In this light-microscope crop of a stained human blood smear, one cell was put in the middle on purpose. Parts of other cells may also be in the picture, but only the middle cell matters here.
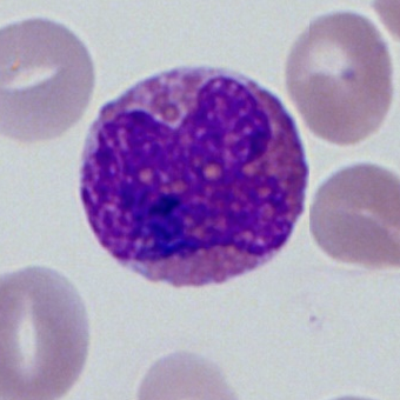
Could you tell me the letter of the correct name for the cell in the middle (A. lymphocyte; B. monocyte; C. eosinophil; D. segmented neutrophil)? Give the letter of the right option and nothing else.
C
